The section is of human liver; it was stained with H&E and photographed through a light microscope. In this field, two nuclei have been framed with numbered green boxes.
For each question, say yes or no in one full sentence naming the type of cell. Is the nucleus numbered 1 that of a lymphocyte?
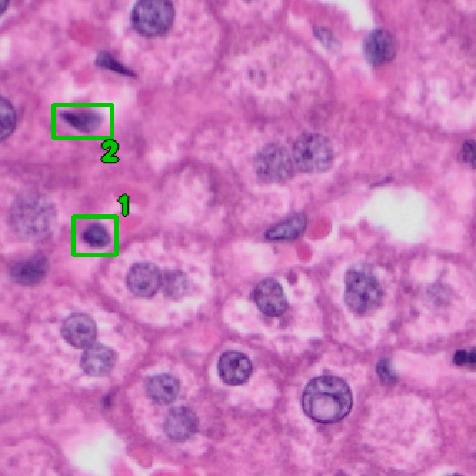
Yes, the cell that has number 1 is a lymphocyte.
